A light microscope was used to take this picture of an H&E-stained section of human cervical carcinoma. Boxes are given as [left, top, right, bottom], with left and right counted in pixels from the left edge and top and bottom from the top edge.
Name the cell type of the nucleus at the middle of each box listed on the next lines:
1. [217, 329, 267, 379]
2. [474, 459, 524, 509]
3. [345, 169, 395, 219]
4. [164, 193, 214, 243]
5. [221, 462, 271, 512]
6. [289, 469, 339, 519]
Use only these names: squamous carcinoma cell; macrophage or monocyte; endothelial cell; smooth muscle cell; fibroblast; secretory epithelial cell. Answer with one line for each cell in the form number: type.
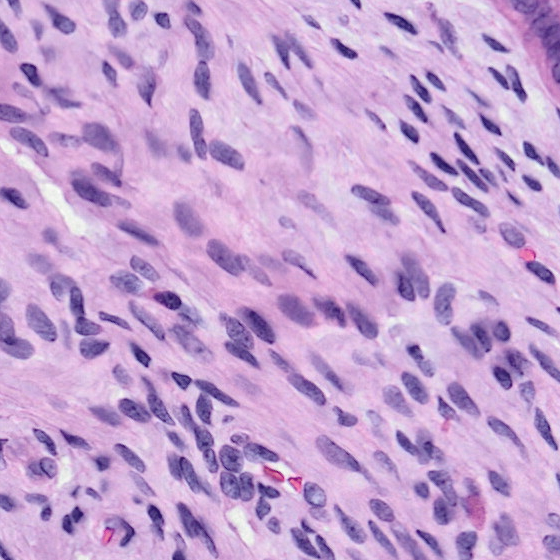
1: fibroblast
2: fibroblast
3: fibroblast
4: fibroblast
5: endothelial cell
6: endothelial cell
